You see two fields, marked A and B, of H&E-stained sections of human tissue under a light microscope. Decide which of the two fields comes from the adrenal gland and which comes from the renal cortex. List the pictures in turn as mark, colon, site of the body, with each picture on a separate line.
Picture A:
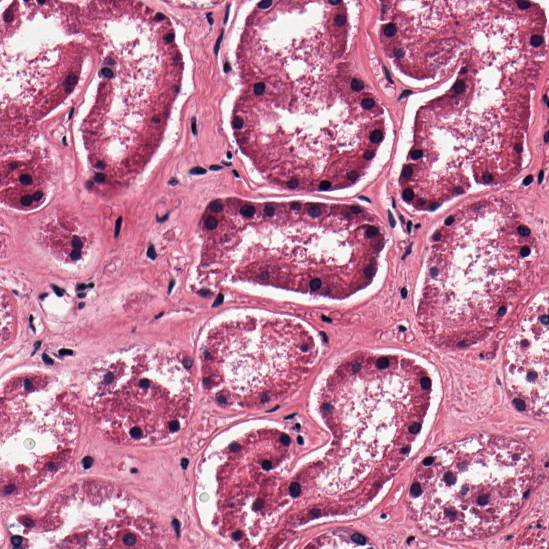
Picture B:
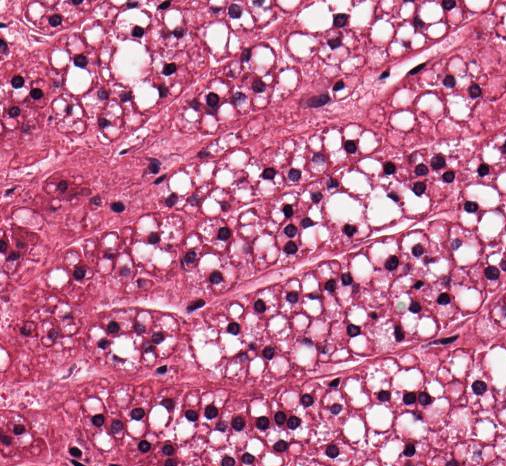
A: renal cortex
B: adrenal gland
